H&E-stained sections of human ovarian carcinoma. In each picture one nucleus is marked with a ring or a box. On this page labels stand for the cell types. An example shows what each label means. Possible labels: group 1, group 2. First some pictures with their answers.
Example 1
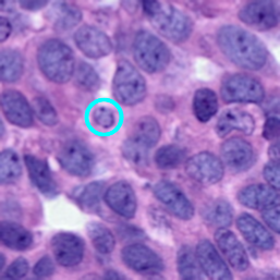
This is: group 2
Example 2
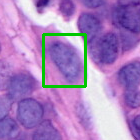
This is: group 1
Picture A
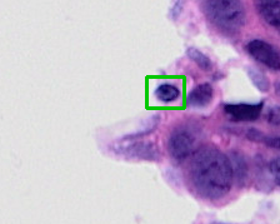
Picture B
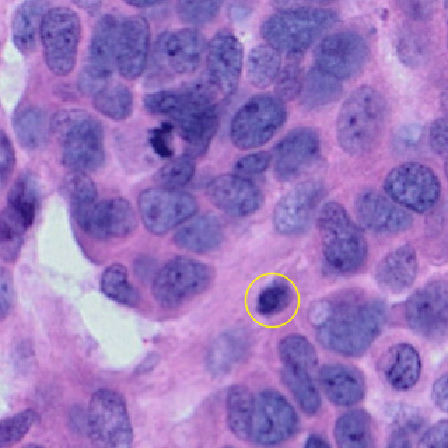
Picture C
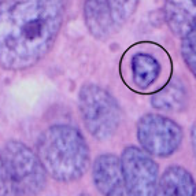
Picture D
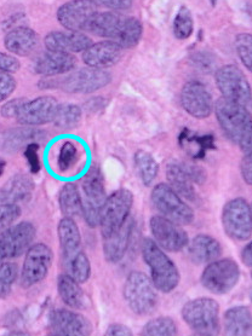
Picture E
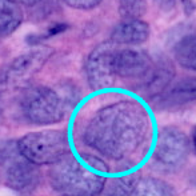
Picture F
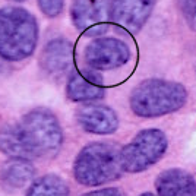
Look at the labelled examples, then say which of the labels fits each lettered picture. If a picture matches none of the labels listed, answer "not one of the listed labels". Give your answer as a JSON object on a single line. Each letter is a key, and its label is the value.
{"A": "not one of the listed labels", "B": "not one of the listed labels", "C": "group 2", "D": "not one of the listed labels", "E": "group 1", "F": "group 1"}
